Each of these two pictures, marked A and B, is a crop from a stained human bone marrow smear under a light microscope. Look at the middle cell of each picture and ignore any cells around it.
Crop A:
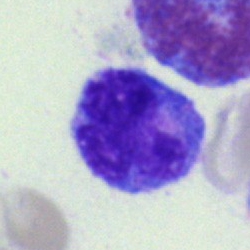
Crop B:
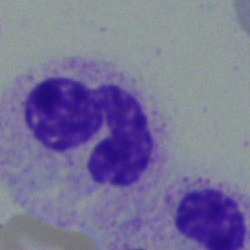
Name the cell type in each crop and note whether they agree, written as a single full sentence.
No, crop A has a monocyte at its center, and crop B has a segmented neutrophil.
